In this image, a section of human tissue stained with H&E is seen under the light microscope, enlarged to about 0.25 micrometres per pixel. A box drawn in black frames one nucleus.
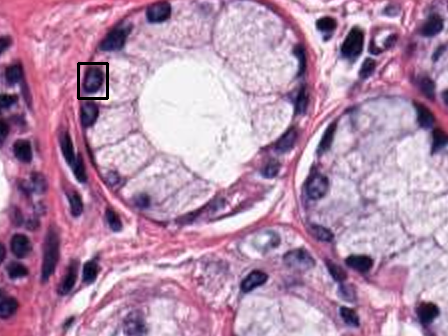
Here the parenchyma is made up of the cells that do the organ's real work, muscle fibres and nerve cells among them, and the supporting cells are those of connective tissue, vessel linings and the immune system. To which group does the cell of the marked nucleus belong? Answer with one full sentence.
The owner of the marked nucleus is a parenchymal cell, namely a mucous gland cell.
